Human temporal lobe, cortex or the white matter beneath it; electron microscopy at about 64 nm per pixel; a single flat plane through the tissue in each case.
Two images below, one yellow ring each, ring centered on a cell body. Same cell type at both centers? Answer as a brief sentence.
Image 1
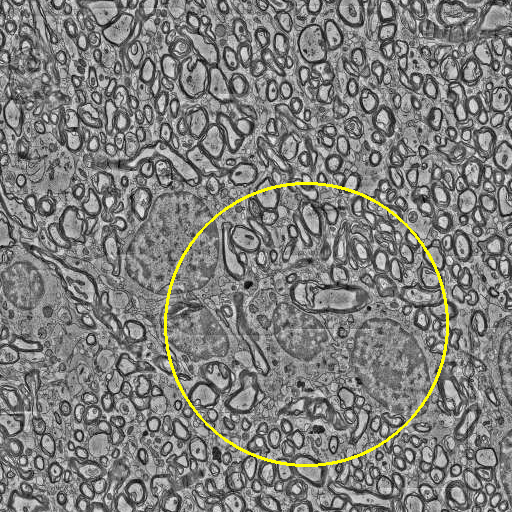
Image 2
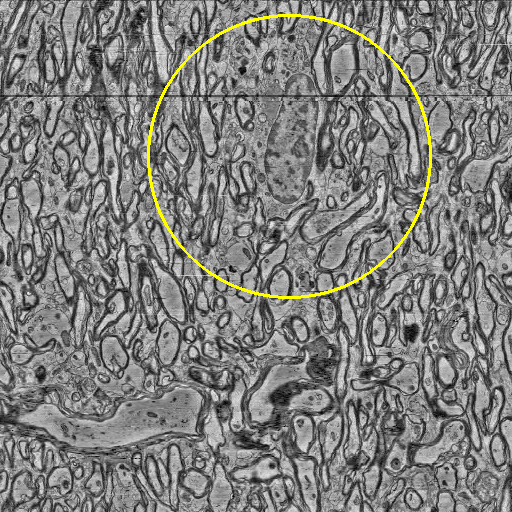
No, the cells are of two separate types.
